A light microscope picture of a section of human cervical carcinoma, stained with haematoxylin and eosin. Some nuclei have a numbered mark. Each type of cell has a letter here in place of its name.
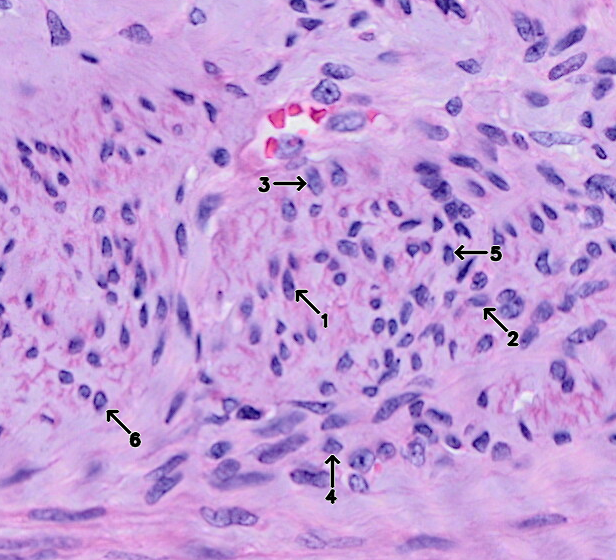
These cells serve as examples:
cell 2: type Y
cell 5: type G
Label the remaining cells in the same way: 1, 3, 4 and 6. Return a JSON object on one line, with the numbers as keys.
{"1": "type Y", "3": "type Y", "4": "type G", "6": "type Y"}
